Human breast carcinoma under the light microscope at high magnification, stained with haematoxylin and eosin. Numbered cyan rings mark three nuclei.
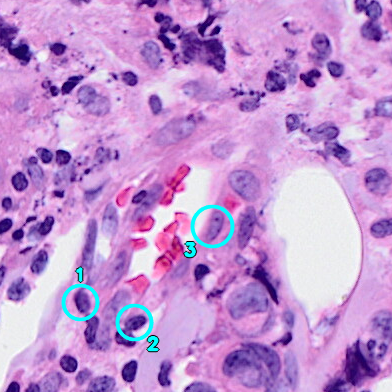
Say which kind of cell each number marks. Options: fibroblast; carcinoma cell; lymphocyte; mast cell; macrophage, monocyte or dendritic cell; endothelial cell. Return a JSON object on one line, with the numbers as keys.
{"1": "lymphocyte", "2": "lymphocyte", "3": "endothelial cell"}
